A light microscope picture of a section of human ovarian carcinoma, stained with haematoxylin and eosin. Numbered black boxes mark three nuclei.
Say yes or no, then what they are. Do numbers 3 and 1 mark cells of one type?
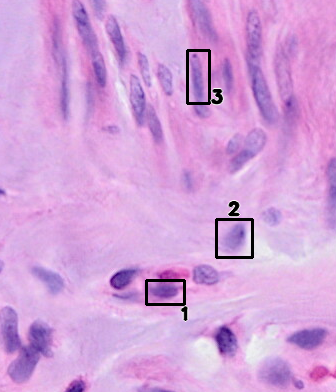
No, unlike cell 1, which is an endothelial cell, cell 3 is a smooth muscle cell.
